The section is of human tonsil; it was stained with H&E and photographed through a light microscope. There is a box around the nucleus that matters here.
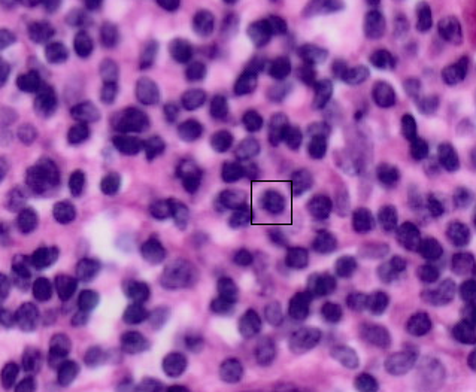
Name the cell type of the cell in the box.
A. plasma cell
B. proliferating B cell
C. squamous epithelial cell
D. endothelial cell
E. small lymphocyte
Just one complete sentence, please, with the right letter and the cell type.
Here the cell in the box is a small lymphocyte, which makes option E correct.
